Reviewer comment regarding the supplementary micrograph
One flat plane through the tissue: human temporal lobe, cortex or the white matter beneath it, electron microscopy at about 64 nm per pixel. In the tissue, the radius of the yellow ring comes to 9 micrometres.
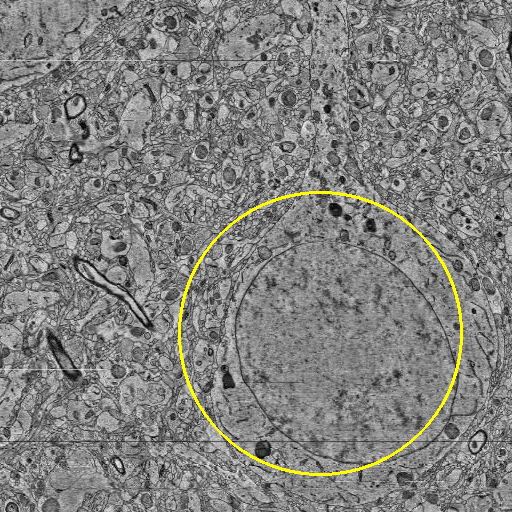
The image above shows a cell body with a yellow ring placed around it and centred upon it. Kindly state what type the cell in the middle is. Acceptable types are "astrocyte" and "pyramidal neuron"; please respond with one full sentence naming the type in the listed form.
In the image above, the cell on which the yellow ring is centred is a pyramidal neuron.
